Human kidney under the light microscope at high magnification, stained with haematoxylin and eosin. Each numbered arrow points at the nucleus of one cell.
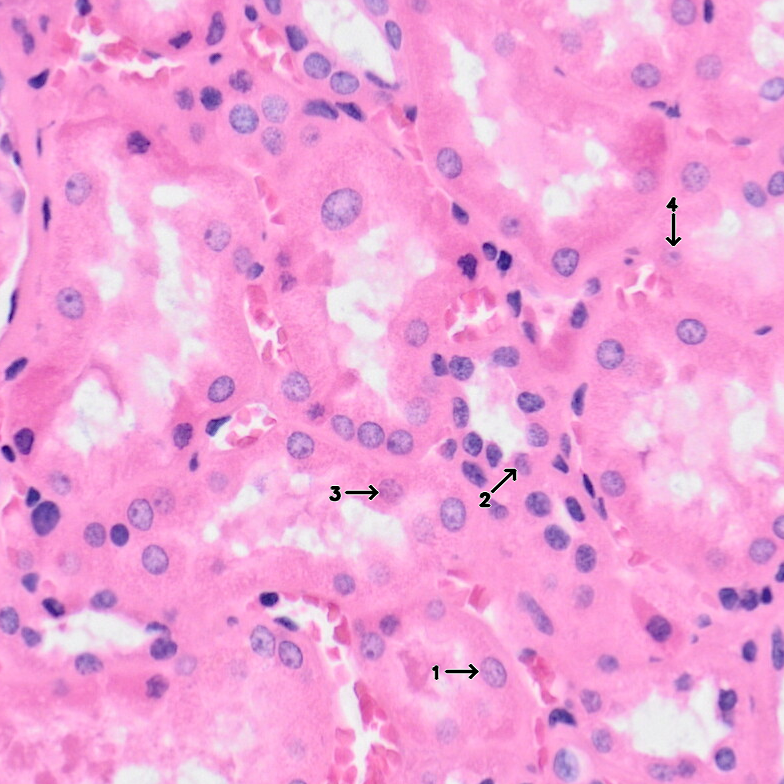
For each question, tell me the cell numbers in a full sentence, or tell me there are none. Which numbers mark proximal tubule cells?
Cells 1, 3 and 4 share one type; they are proximal tubule cells.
